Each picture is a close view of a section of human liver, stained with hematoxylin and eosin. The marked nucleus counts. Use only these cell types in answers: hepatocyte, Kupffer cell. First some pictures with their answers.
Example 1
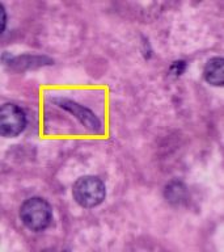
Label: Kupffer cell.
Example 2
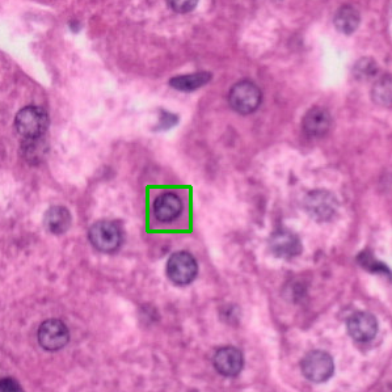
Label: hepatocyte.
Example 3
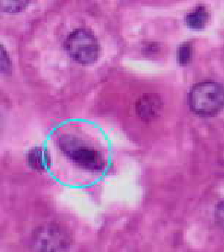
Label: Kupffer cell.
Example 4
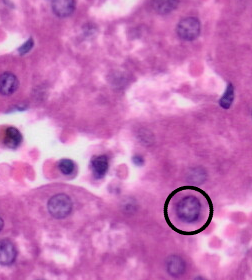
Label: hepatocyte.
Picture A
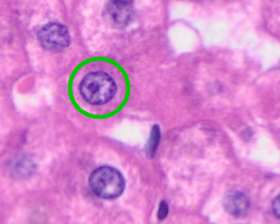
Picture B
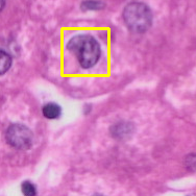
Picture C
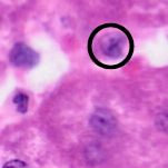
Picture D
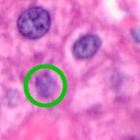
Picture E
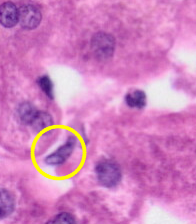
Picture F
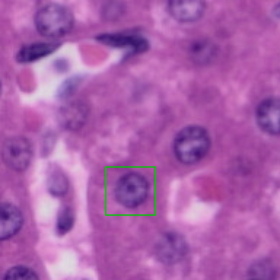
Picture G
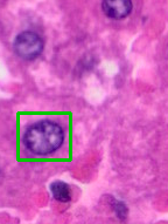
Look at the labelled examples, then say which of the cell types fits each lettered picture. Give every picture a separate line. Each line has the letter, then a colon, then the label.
A: hepatocyte.
B: hepatocyte.
C: Kupffer cell.
D: hepatocyte.
E: Kupffer cell.
F: hepatocyte.
G: hepatocyte.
